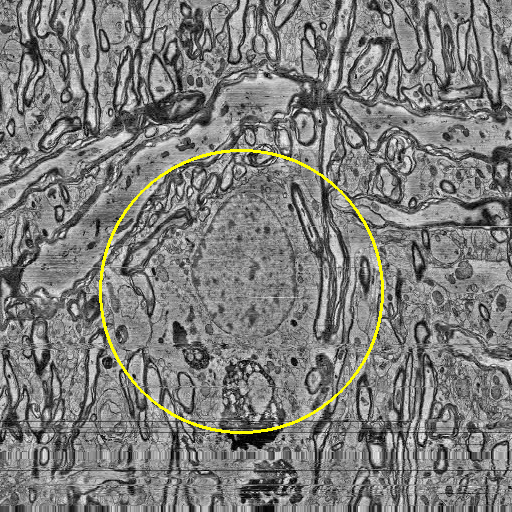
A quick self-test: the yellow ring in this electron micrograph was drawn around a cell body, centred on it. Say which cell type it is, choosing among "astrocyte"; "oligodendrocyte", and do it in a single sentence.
The yellow-ringed cell is an astrocyte.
